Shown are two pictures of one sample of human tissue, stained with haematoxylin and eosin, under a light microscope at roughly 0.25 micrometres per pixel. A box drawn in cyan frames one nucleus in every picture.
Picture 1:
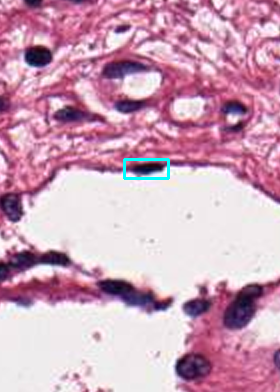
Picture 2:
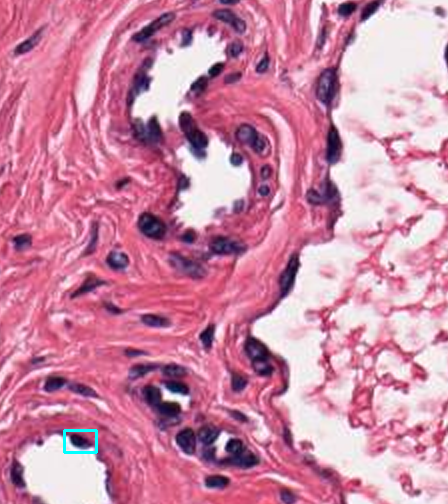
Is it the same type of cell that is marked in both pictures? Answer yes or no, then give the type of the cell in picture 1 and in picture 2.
Yes, both are endothelial cells.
